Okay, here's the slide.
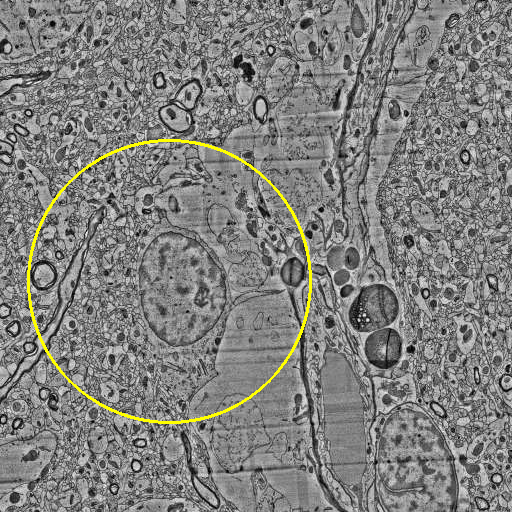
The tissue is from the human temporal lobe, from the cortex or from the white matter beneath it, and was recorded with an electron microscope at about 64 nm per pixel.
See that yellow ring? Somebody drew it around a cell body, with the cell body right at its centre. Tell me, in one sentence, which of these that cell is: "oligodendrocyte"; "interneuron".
The cell in the middle of the ring is an oligodendrocyte.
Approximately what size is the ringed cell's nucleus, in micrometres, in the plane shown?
In this plane the nucleus spans approximately 7 by 6 micrometers.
